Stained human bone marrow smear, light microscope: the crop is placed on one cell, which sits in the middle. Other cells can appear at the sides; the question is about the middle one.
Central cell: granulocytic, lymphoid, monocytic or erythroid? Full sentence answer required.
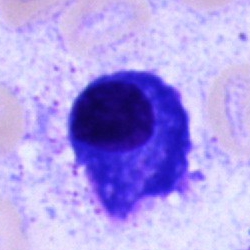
The cell at the middle of the crop is designated as lymphoid in lineage.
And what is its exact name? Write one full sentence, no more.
To answer, the cell in the center of the crop is a plasma cell.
